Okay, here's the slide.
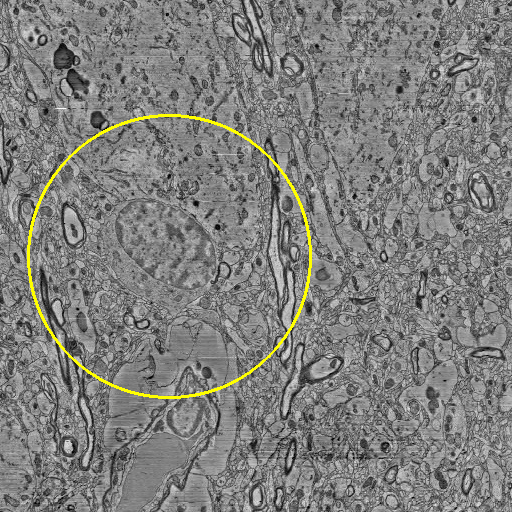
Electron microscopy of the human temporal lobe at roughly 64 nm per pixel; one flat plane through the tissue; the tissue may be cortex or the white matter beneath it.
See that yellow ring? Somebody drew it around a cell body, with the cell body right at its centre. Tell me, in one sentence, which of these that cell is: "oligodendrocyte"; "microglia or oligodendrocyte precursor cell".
The cell in the middle of the ring is an oligodendrocyte.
